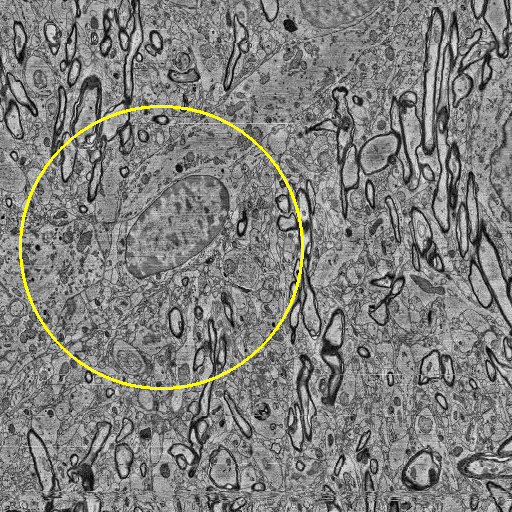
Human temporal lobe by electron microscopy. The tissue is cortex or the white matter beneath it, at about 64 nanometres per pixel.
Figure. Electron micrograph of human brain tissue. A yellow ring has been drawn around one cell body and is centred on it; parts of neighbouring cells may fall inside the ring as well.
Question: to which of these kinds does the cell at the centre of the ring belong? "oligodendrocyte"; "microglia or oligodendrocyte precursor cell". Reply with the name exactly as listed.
microglia or oligodendrocyte precursor cell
